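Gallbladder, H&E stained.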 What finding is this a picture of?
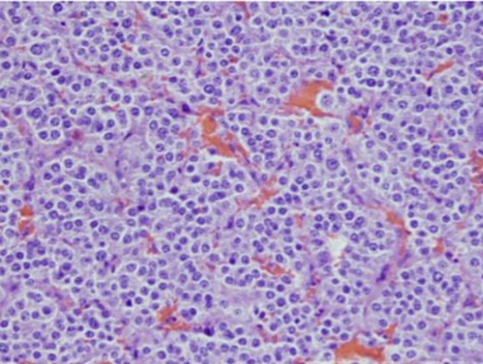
Neuroendocrine neoplasm.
